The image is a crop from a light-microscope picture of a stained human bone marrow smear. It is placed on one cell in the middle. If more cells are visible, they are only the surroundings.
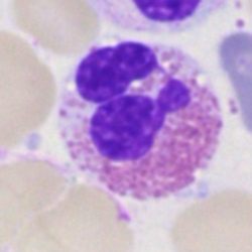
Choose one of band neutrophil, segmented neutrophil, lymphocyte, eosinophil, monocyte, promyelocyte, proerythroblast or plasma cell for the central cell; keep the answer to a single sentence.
The centered cell in this crop is an eosinophil.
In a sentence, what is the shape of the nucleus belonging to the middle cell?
The nucleus here is split into two or more lobes, not one.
